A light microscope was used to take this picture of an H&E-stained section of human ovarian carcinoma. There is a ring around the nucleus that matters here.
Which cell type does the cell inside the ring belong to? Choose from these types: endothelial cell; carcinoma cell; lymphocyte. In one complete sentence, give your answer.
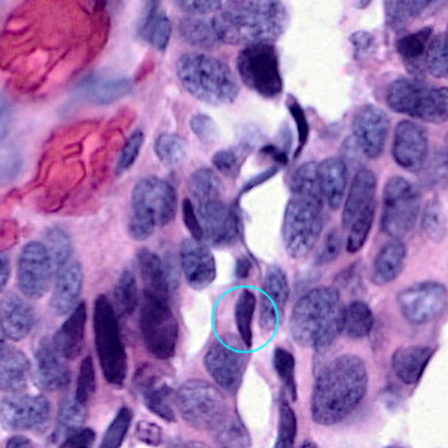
Histopathologically, the cell inside the ring is a carcinoma cell.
